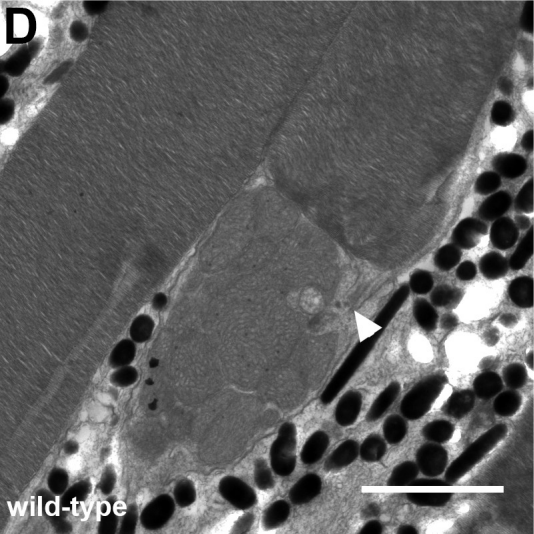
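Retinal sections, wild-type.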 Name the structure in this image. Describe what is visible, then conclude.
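Large blocks are filled with fine, evenly spaced parallel lamellae. The lamellae are closely packed and run uniformly across each block.
Answer: outer segment disc membranes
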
